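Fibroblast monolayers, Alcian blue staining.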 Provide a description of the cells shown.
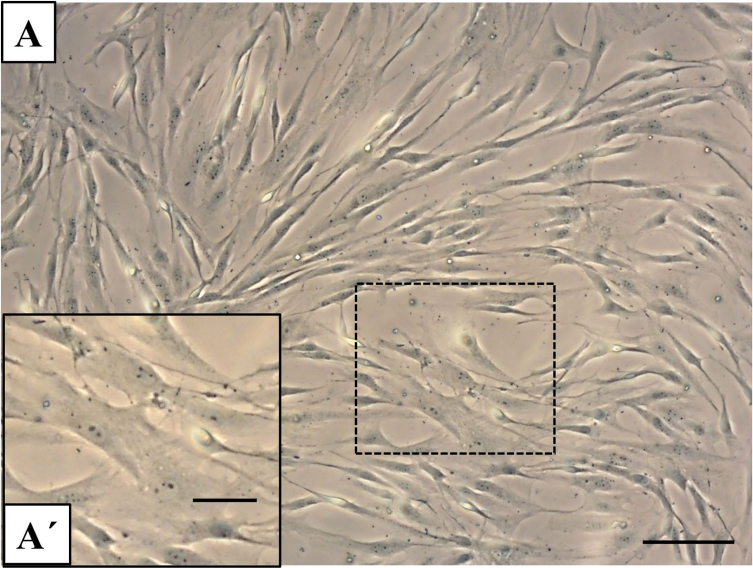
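Cells run in roughly parallel streams in places, with open spaces between them. Oval nuclei sit centrally in pale cytoplasm dotted with small dark granules. The cells are pale beige-grey with little or no blue staining.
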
